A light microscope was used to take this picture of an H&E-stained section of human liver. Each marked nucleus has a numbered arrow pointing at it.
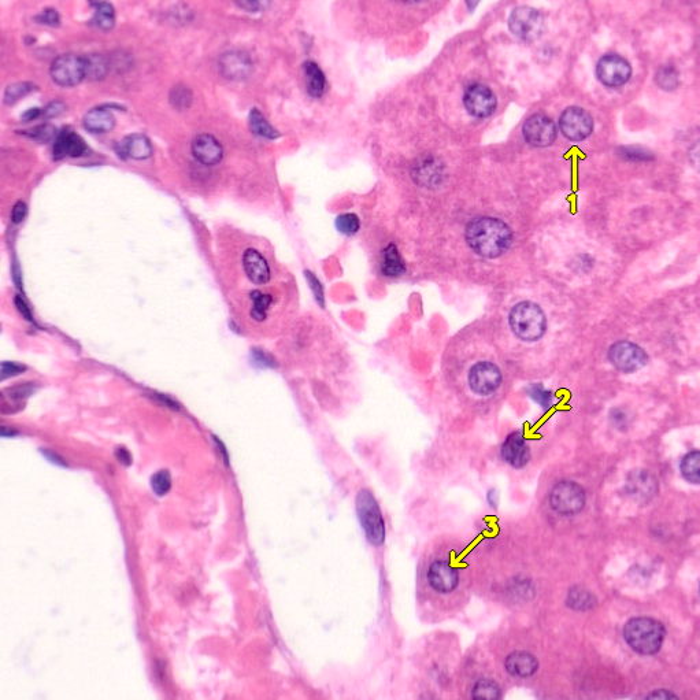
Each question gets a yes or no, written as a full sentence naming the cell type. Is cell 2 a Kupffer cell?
Yes, the cell carrying label 2 is a Kupffer cell.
